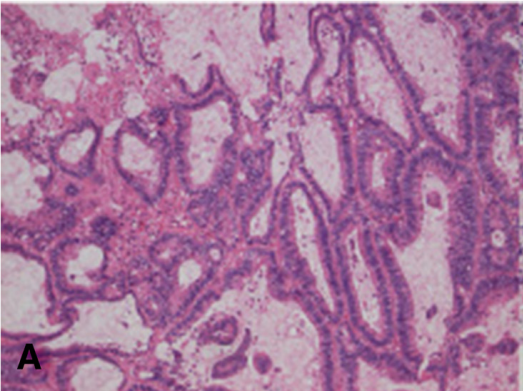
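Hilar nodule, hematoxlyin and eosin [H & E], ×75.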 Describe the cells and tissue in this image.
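This is a well-differentiated adenocarcinoma, made of glands lined by tall columnar tumor cells. The glands are irregular, elongated and branching, and their lining cells have crowded, elongated dark purple nuclei stacked near the base. The lumens are wide and filled with pale pink material and some debris.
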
